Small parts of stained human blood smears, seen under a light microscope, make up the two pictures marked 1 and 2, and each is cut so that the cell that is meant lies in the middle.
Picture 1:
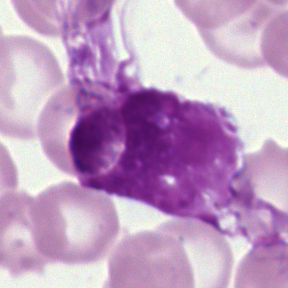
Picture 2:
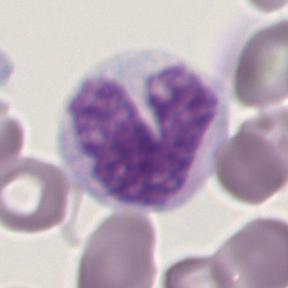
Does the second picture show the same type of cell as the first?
no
